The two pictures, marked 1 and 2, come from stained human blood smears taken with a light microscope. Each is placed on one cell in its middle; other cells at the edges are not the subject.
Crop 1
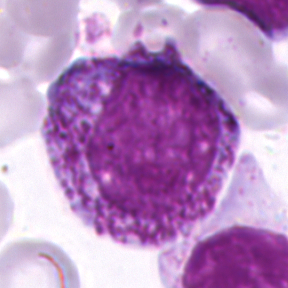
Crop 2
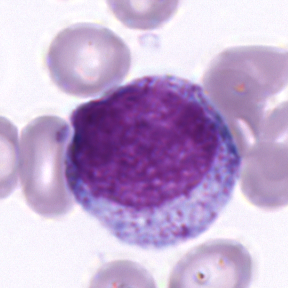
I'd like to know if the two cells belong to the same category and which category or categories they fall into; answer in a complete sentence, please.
Yes, the cells in the centres of the two crops are promyelocytes.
